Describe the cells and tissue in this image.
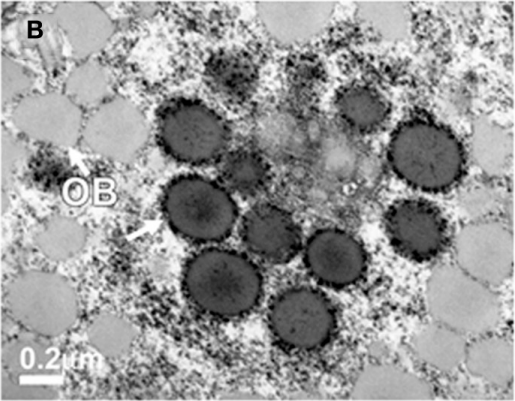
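At high magnification, a cluster of round and oval, dark, electron-dense bodies sits in granular cytoplasm of a seed storage cell. Each dense body has a rim dotted with small dark granules. Around them lie pale grey, smooth, rounded oil bodies pressed against one another. The dark spheres are protein bodies, distinct in density from the oil bodies.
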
